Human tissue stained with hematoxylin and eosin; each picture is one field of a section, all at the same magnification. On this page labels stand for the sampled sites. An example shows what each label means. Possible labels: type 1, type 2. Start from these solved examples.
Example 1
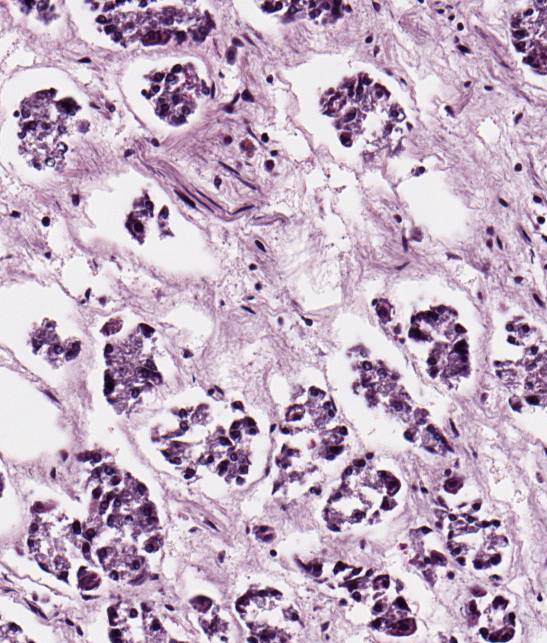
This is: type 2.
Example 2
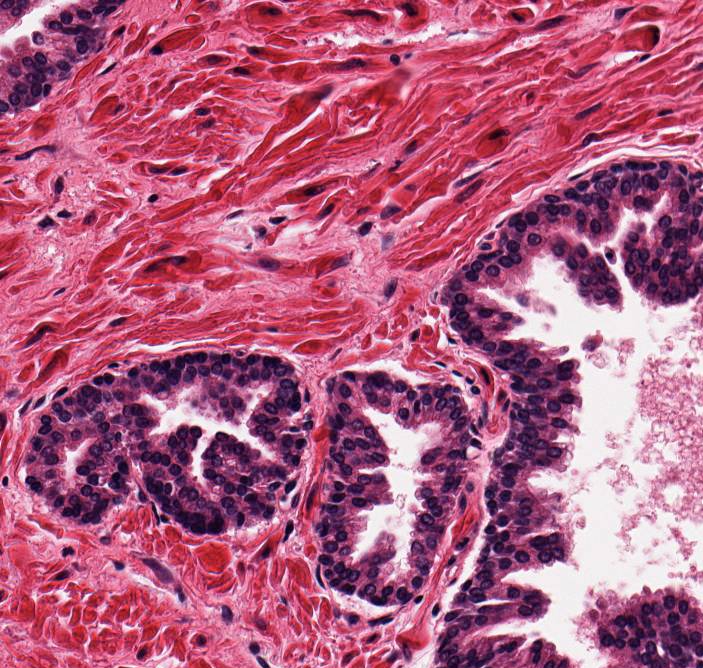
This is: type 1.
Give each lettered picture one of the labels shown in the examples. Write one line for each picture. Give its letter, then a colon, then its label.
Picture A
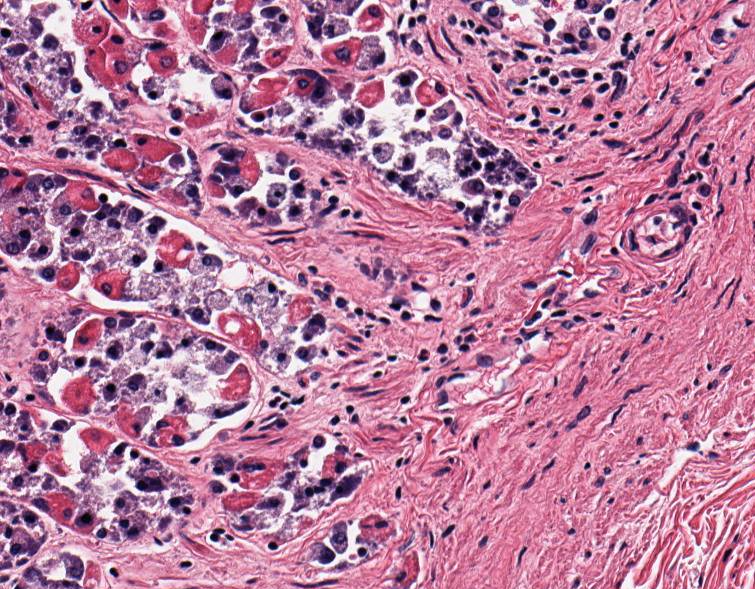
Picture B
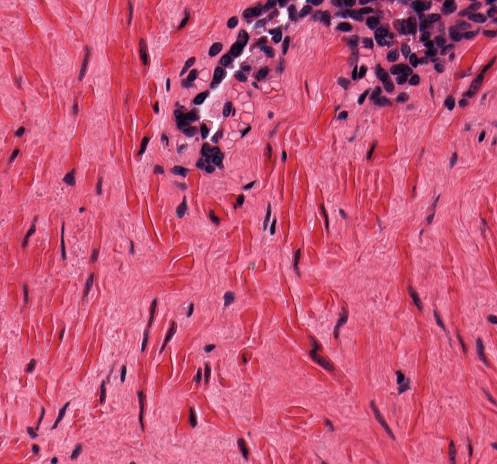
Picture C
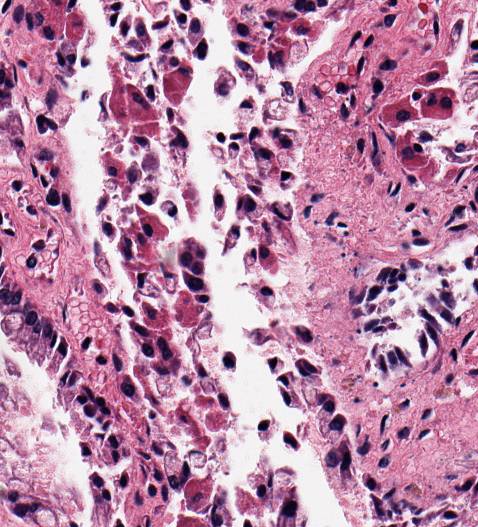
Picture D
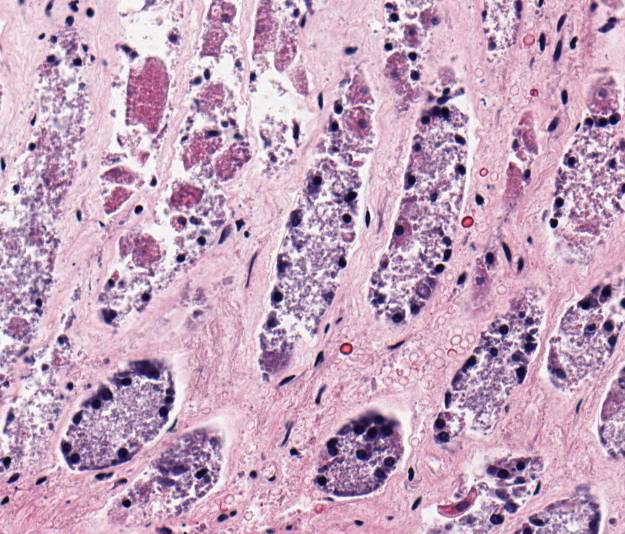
A: type 2.
B: type 1.
C: type 2.
D: type 2.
